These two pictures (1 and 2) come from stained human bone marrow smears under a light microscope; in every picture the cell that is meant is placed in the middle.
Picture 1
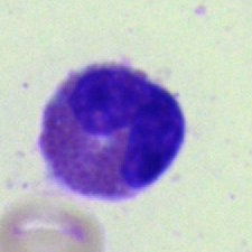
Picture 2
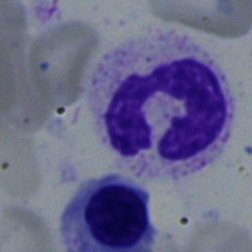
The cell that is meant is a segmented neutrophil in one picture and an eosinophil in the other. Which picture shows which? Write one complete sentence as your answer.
Picture 2 shows a segmented neutrophil, while picture 1 shows an eosinophil.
